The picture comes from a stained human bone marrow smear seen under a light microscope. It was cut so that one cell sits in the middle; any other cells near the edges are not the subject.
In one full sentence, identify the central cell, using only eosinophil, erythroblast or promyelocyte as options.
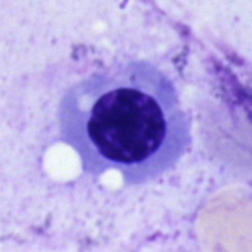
Classified as an erythroblast is the cell in the middle of this crop.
